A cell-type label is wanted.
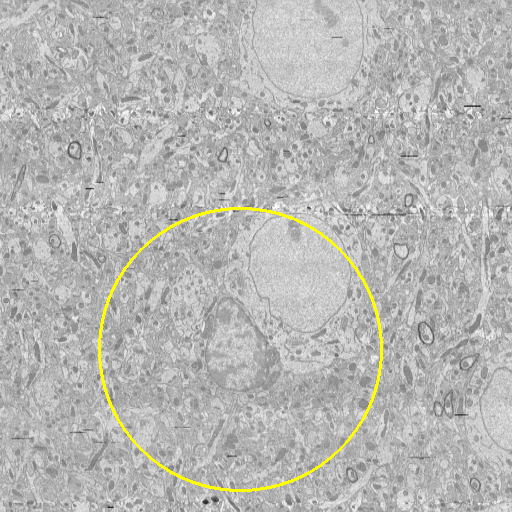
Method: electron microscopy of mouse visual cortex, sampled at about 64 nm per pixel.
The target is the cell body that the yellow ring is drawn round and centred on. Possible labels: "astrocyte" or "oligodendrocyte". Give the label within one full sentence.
Of the labels offered, the cell in the middle of the yellow ring is an oligodendrocyte.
